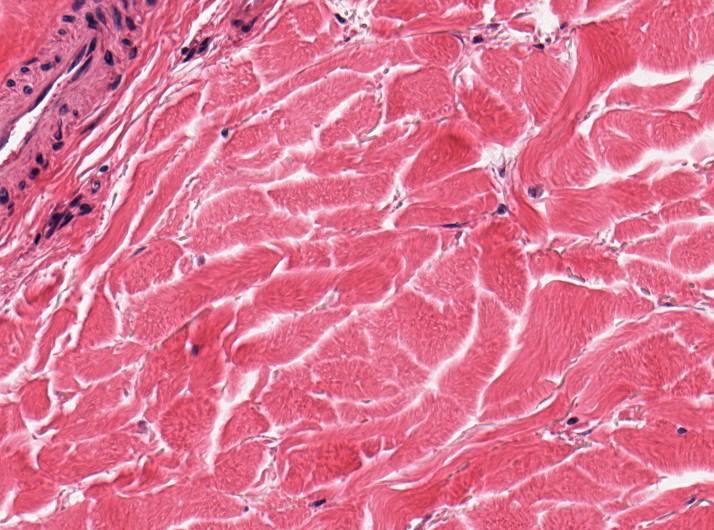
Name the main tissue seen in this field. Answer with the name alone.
dermis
